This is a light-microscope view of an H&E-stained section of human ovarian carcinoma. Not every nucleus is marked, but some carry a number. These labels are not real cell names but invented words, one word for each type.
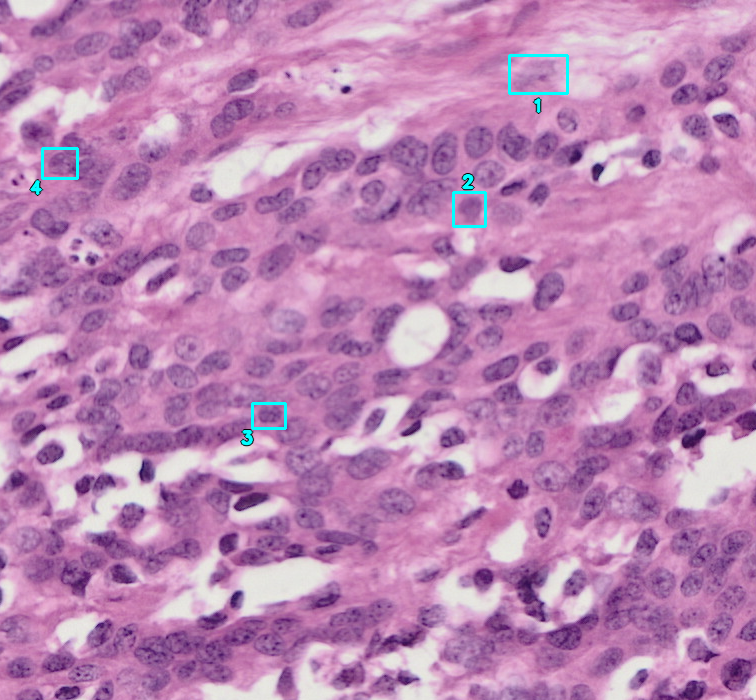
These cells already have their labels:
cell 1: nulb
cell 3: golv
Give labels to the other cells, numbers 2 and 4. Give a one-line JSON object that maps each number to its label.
{"2": "golv", "4": "golv"}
